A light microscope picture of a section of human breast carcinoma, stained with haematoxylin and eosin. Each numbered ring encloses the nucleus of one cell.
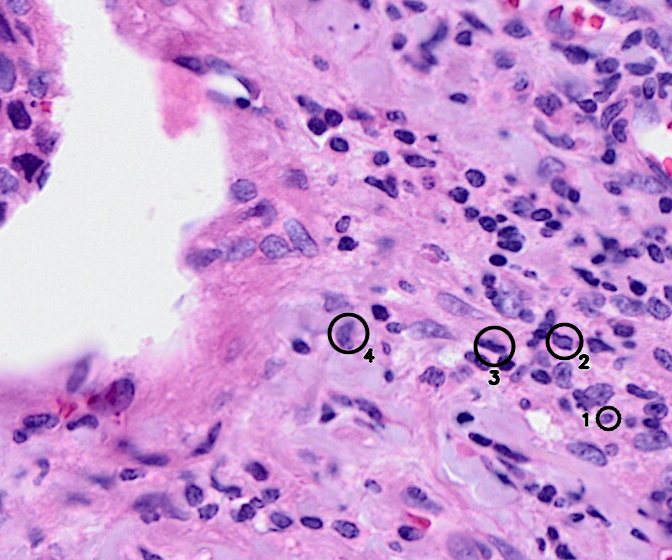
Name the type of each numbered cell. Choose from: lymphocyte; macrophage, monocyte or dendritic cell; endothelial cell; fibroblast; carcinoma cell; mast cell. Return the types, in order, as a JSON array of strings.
["lymphocyte", "lymphocyte", "lymphocyte", "mast cell"]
